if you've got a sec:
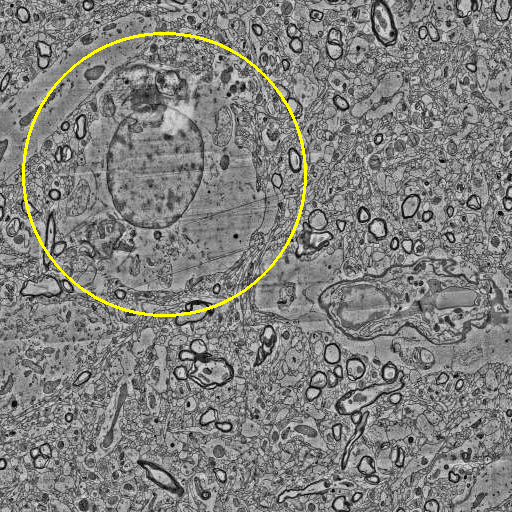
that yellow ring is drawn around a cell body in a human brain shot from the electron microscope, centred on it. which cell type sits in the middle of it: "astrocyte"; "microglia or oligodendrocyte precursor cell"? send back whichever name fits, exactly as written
astrocyte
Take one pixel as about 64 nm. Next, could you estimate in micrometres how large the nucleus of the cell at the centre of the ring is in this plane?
In this plane, the nucleus is roughly 8 by 6 micrometres.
